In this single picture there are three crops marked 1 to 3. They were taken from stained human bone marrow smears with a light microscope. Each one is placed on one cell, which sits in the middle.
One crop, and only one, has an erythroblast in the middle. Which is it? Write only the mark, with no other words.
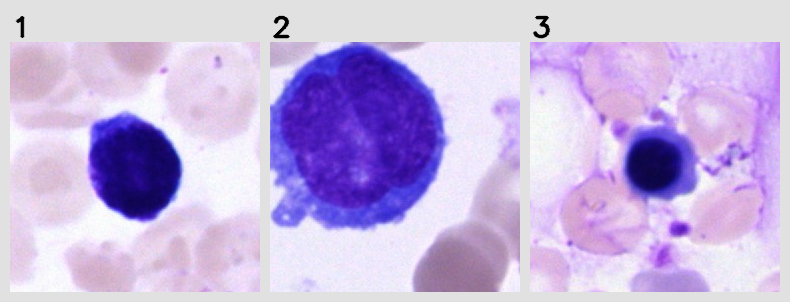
3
